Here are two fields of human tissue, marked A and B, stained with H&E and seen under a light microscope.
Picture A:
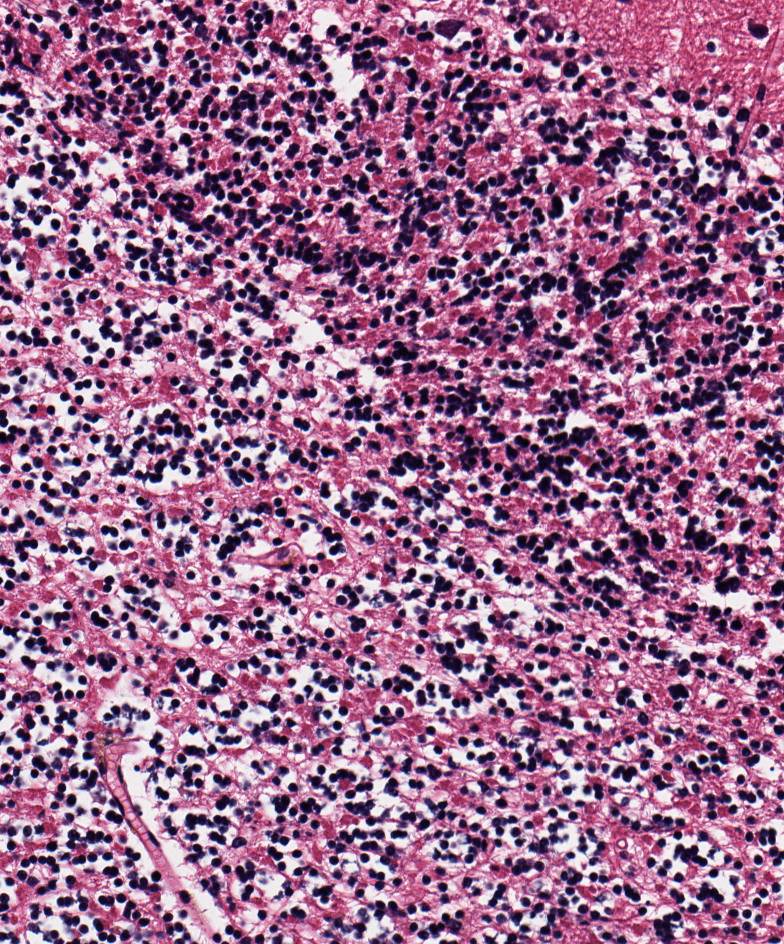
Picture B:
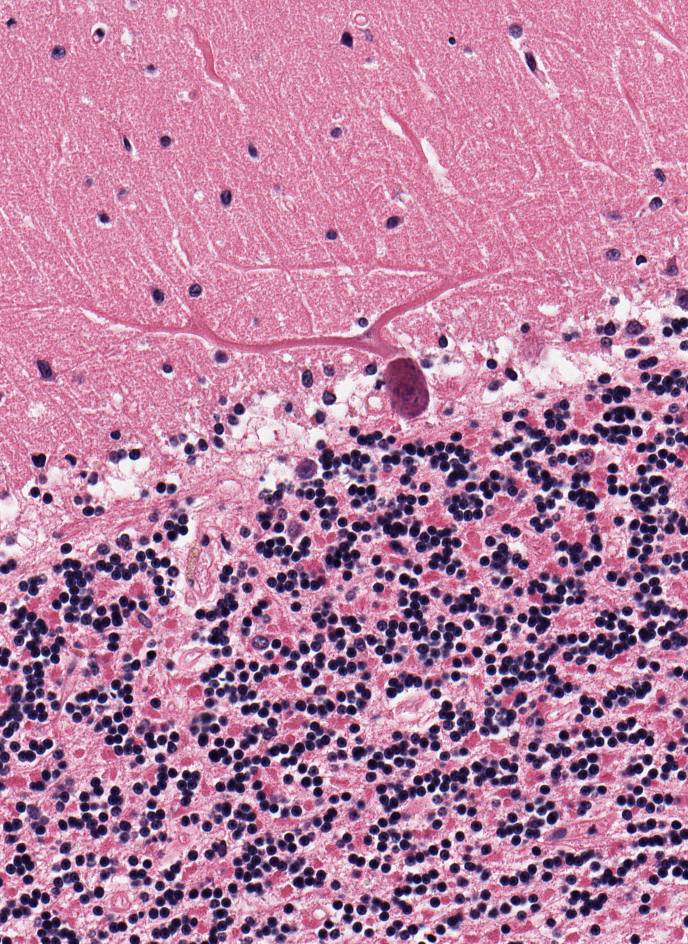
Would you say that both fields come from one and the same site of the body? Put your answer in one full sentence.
Yes, the two fields both come from the cerebellum.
